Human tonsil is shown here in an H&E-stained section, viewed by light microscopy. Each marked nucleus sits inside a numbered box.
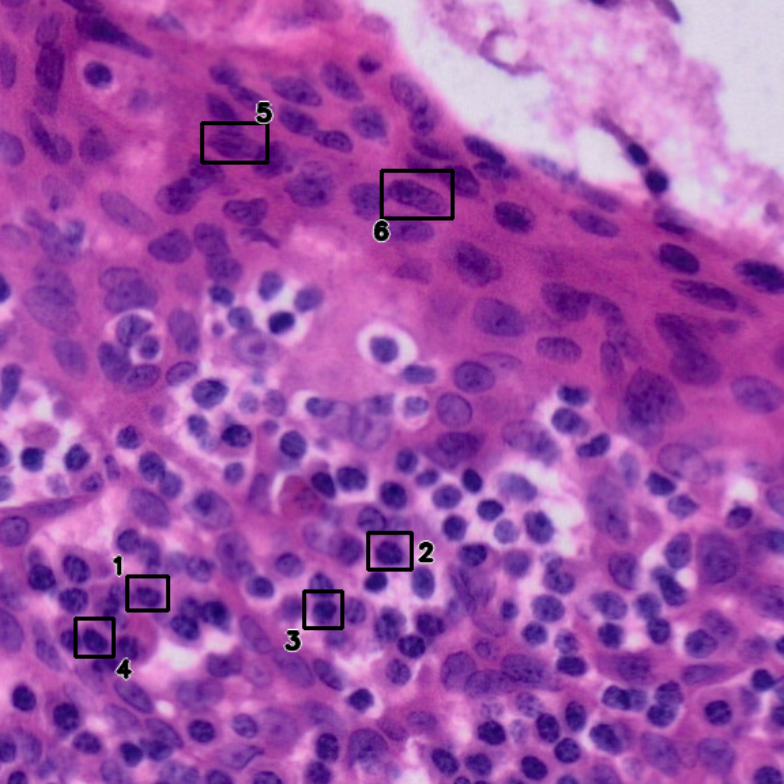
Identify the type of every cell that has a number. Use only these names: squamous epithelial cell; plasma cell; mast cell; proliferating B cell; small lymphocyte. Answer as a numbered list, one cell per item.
1. plasma cell
2. plasma cell
3. plasma cell
4. plasma cell
5. squamous epithelial cell
6. squamous epithelial cell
